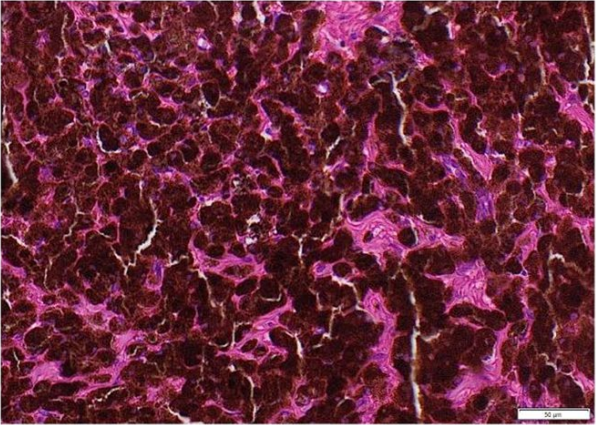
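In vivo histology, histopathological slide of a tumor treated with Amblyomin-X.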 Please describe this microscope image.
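Nearly the entire field is occupied by closely packed rounded cells filled with dense dark brown pigment, separated only by thin pink strands of stroma, with hardly any pale nucleated cells in between. This is a regression area made up of melanophages.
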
